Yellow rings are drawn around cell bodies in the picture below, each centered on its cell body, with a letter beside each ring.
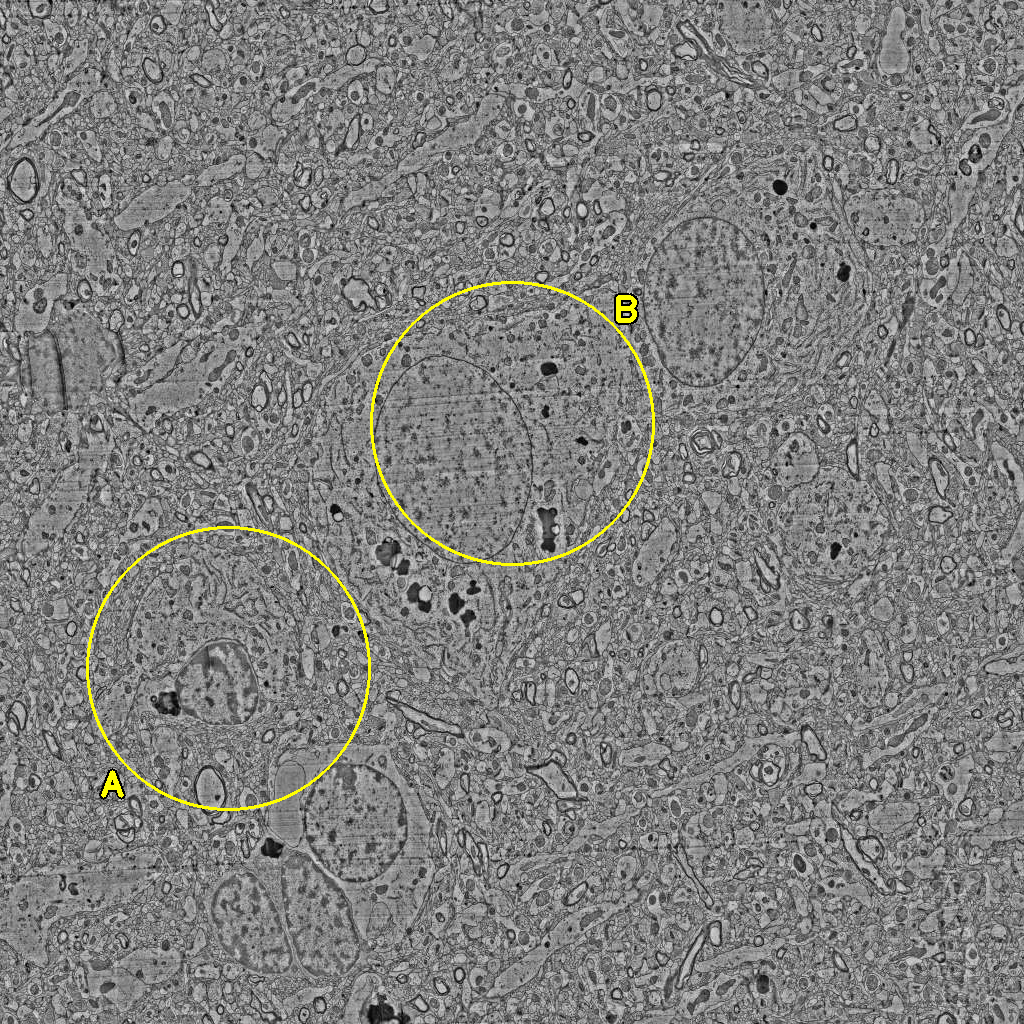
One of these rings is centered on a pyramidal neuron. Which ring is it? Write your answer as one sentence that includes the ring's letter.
It is ring B.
